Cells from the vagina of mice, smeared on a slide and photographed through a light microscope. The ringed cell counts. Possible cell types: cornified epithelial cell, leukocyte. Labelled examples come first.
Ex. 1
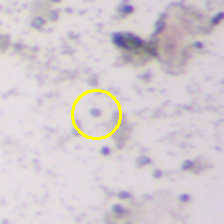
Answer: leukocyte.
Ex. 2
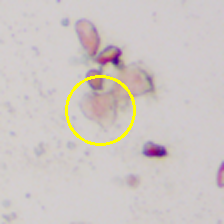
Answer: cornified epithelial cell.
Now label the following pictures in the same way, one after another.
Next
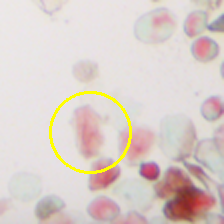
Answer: cornified epithelial cell.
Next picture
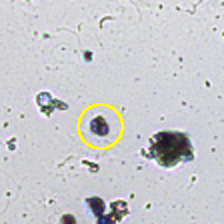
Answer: leukocyte.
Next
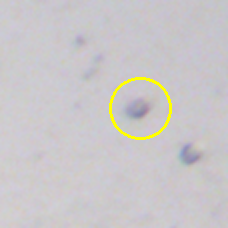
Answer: leukocyte.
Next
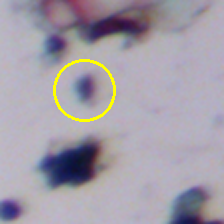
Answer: leukocyte.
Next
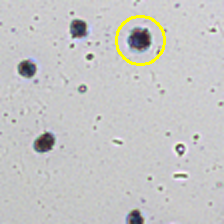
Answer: leukocyte.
